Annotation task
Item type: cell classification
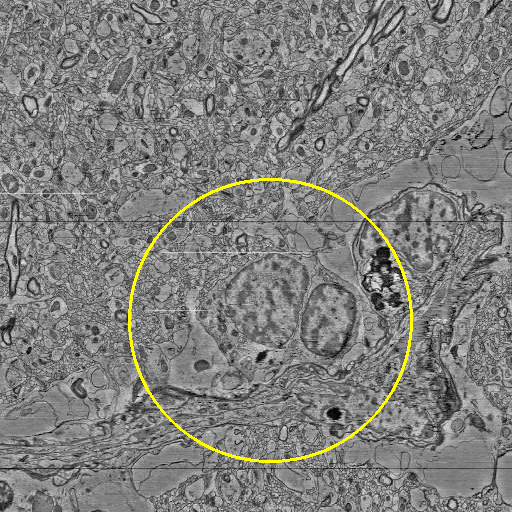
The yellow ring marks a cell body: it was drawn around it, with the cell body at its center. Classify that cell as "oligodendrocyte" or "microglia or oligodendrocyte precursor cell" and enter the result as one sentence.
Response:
The ring's center falls on an oligodendrocyte.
